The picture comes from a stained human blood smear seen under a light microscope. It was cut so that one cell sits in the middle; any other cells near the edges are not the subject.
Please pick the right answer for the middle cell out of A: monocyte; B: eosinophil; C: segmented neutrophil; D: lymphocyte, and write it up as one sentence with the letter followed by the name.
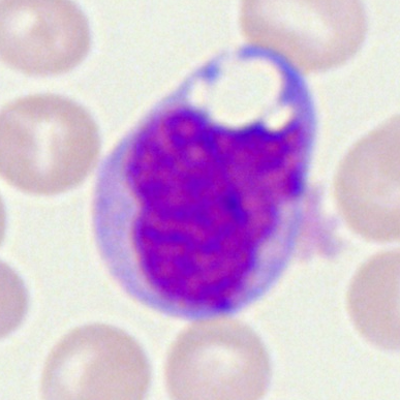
That the central cell is a monocyte makes option A correct.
